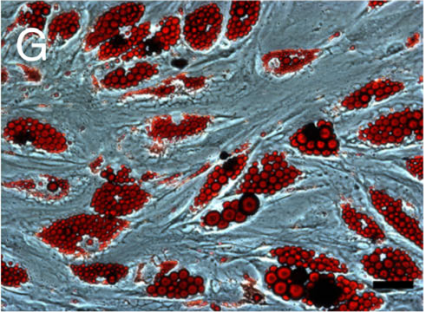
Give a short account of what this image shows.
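Cultured adipocytes whose cytoplasm is packed with many round lipid droplets stained bright red. The droplets vary in size, and a few are larger and appear darker. Between the droplet-filled cells lie elongated, spindle-shaped unstained cells with pale grey-blue cytoplasm, running in parallel streams.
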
